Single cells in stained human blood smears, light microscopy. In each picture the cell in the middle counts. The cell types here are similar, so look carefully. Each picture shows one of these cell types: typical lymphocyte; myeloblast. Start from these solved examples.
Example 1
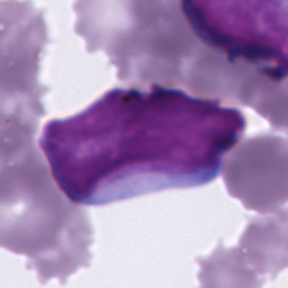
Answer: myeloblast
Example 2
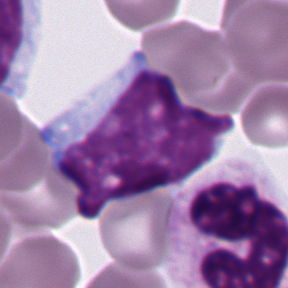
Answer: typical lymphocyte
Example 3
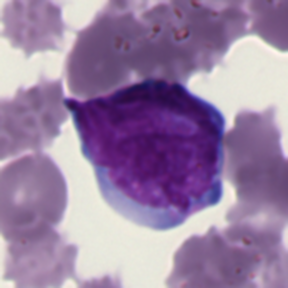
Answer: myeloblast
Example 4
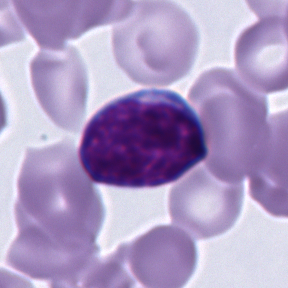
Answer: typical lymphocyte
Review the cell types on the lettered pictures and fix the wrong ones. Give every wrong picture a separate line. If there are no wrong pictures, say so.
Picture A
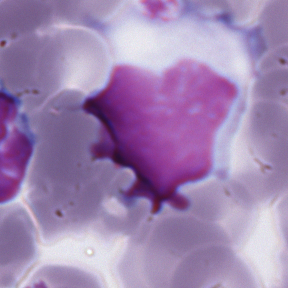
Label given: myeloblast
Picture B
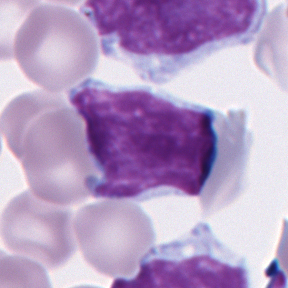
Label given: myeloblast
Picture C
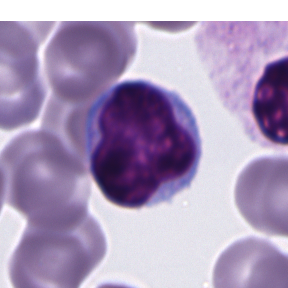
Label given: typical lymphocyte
A: change myeloblast to typical lymphocyte
B: change myeloblast to typical lymphocyte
